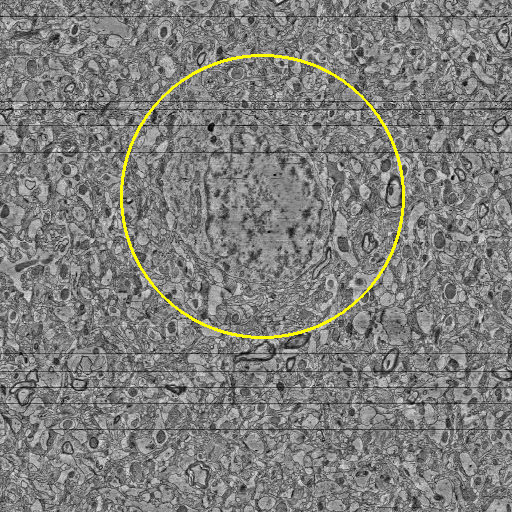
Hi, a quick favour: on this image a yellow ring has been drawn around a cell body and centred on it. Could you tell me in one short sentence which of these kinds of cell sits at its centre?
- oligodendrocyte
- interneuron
The ring is centred on an interneuron.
